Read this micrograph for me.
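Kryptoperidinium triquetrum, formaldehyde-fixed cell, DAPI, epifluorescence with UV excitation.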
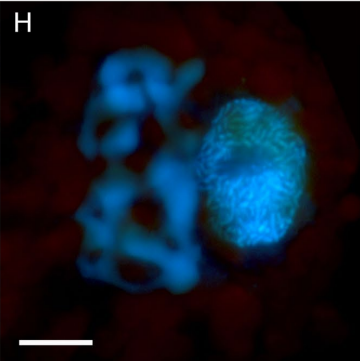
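Two blue-stained nuclei lie side by side within one cell on a dark background. The left nucleus is large and irregular, lobed and perforated with dark holes, evenly and diffusely stained without distinct threads. The right nucleus is compact and oval, bright, and filled with numerous short, densely packed threadlike chromosomes giving a striated texture. Faint red background from the surrounding cytoplasm.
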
